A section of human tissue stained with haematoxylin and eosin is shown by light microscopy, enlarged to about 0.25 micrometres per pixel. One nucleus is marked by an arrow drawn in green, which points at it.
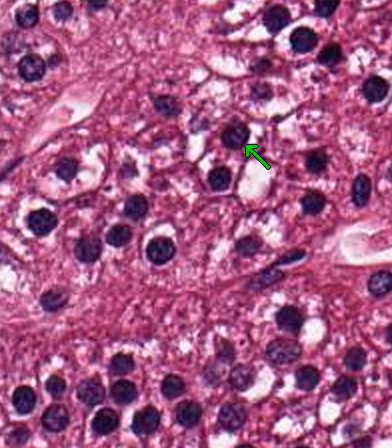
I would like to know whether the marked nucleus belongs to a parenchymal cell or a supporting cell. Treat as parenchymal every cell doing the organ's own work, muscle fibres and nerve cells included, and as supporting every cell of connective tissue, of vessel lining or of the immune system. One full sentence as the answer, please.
The marked nucleus belongs to a parenchymal cell, and this cell is an adrenal cortical cell.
